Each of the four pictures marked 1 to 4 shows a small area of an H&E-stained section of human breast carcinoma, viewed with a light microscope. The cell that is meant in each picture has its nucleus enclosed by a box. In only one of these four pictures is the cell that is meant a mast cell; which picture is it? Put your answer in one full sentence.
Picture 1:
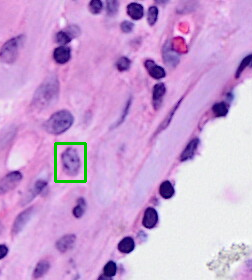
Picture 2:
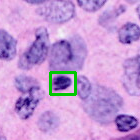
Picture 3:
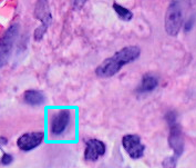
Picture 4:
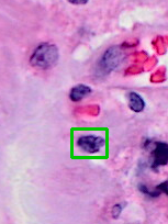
The cell in picture 1 is the mast cell.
